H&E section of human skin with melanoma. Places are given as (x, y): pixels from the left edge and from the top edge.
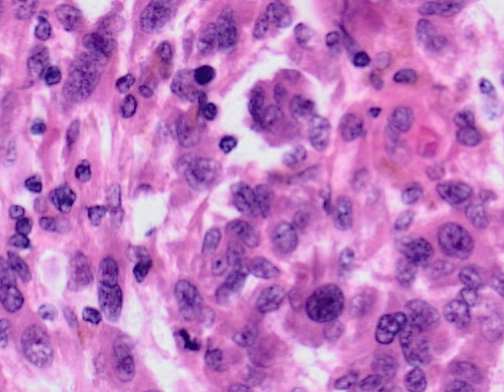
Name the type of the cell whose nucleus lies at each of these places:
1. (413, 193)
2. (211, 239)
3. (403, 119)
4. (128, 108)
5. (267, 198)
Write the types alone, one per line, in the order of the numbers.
macrophage or monocyte
melanoma cell
endothelial cell
macrophage or monocyte
melanoma cell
